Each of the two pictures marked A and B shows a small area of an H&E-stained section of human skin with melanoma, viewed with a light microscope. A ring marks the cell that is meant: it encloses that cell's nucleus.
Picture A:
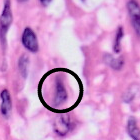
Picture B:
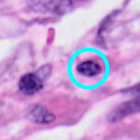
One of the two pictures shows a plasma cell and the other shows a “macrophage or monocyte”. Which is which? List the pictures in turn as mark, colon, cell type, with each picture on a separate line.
A: macrophage or monocyte
B: plasma cell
